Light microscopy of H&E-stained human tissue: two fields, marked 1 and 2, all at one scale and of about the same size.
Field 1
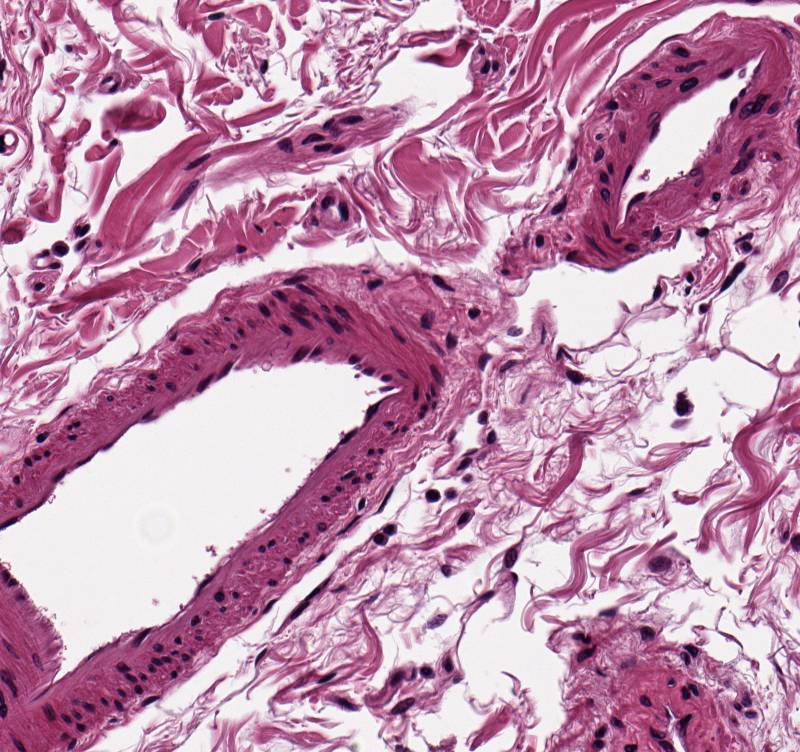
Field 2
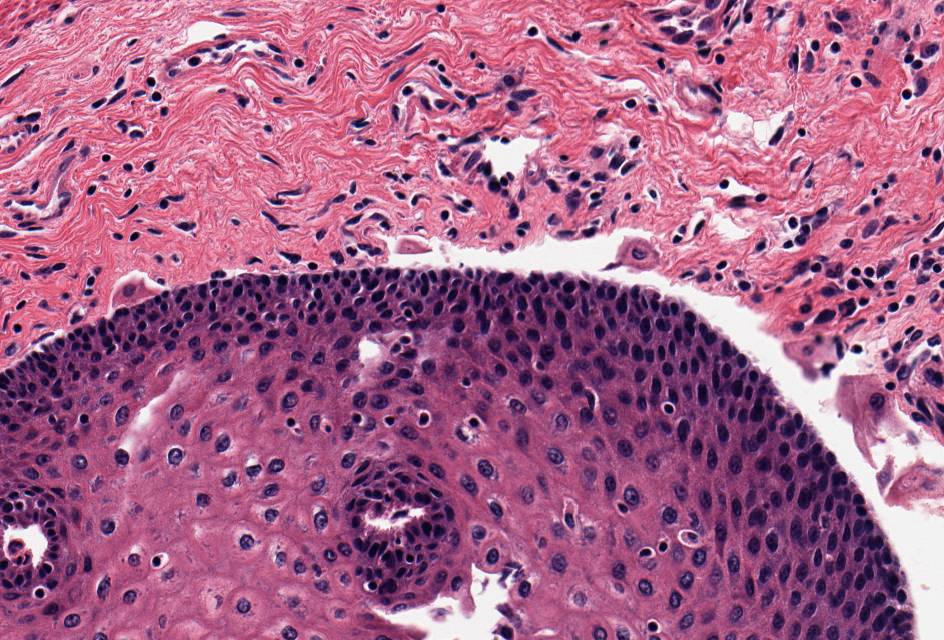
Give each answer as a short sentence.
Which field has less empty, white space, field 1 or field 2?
Unstained space takes up less of field 2 than of field 1.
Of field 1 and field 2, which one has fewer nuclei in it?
There are fewer nuclei in field 1.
